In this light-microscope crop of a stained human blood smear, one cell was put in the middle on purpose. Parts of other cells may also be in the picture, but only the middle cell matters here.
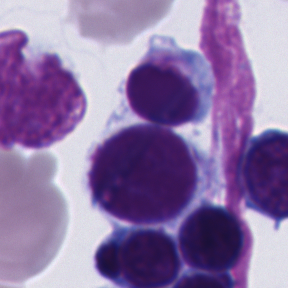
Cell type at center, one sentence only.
The cell marked by its central position in the crop is a myeloblast.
